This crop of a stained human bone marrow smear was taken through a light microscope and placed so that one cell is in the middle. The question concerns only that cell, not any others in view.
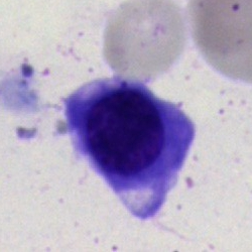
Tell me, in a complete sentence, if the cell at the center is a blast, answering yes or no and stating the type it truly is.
No, the central cell is designated an erythroblast and not a blast.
